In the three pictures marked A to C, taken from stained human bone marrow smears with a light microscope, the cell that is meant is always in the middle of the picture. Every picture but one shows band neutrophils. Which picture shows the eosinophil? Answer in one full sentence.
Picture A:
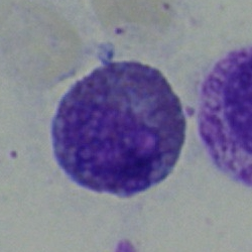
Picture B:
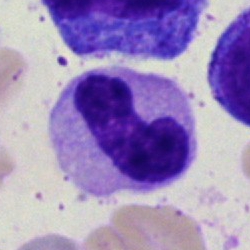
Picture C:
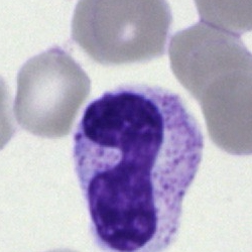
Picture A is the one that shows the eosinophil.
